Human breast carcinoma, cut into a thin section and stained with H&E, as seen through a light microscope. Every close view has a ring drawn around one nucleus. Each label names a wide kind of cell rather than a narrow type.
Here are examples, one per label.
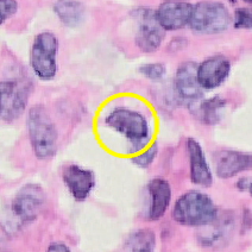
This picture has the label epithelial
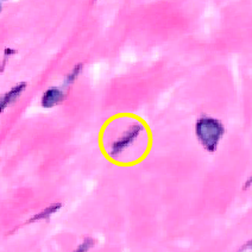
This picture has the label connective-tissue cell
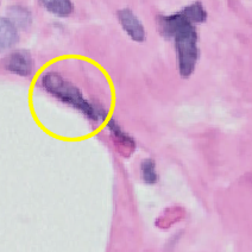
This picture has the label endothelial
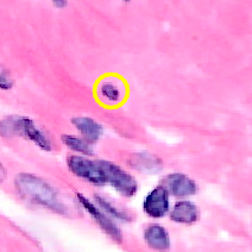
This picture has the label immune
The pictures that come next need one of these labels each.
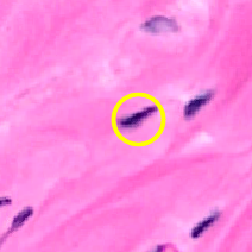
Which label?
connective-tissue cell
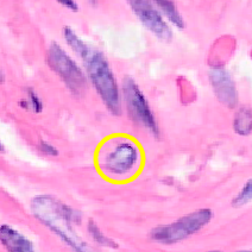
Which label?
endothelial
